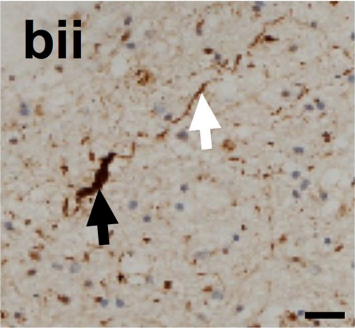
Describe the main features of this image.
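This is white matter tissue, seen as a pale tan background scattered with small round blue-grey nuclei and many small brown dots and short brown fragments. Above and to the right, a thin, faint brown line runs diagonally and is broken into separate segments. The nuclei lie scattered without any particular arrangement and carry no brown stain. The swollen dark profile fits an axonal spheroid at the end of an axon, and the broken faint line fits a damaged axon seen as discontinuous lines.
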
